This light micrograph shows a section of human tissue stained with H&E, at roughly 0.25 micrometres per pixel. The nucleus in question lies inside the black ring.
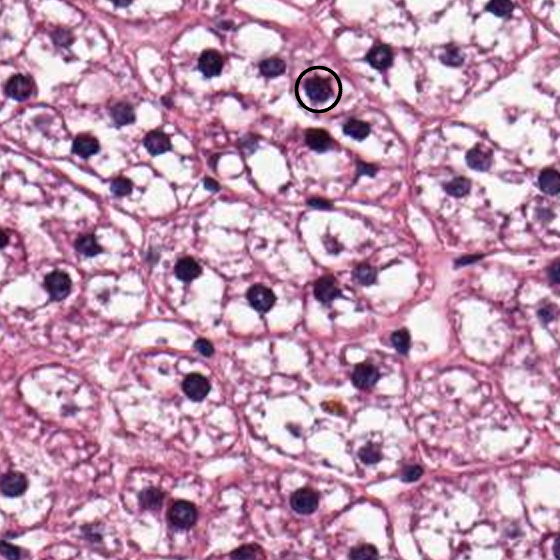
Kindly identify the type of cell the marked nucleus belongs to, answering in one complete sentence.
In this picture it is an adrenal cortical cell whose nucleus is marked.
